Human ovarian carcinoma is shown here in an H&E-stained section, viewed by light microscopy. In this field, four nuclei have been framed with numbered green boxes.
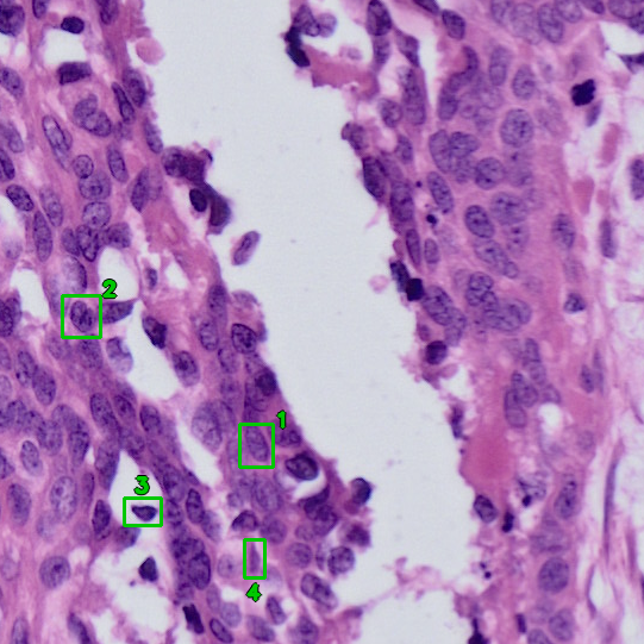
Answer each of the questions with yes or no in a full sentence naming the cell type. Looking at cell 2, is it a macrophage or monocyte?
Yes, regarding cell number 2, it is a macrophage or monocyte.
